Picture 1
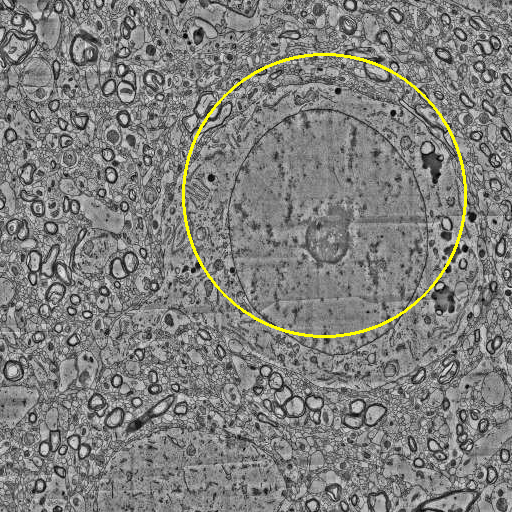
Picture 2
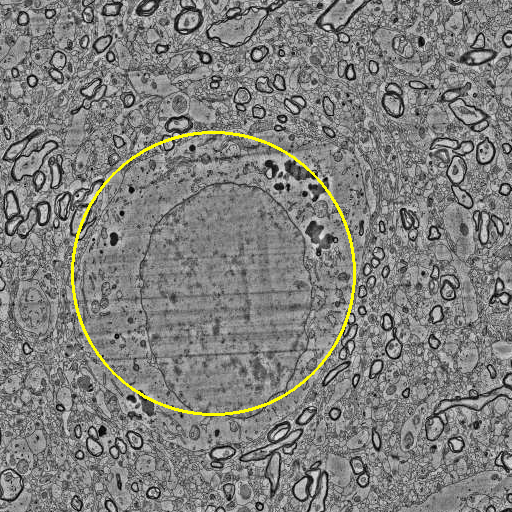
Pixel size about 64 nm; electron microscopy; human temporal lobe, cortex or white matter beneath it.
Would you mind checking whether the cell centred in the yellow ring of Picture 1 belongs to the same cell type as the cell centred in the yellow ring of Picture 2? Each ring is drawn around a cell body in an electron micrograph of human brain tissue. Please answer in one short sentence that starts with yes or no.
Yes, both cells are of the same type.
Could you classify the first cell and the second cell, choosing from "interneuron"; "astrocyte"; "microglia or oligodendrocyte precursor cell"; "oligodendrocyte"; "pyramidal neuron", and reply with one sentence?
The second cell is a pyramidal neuron, just as the first is.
